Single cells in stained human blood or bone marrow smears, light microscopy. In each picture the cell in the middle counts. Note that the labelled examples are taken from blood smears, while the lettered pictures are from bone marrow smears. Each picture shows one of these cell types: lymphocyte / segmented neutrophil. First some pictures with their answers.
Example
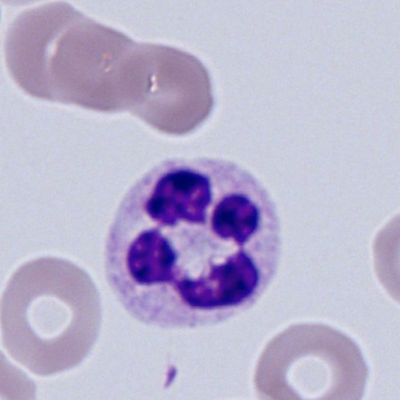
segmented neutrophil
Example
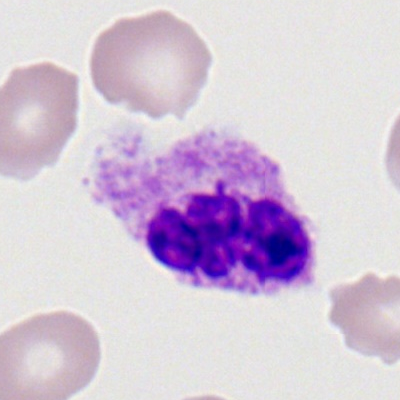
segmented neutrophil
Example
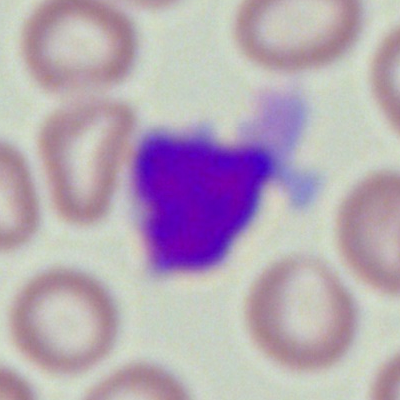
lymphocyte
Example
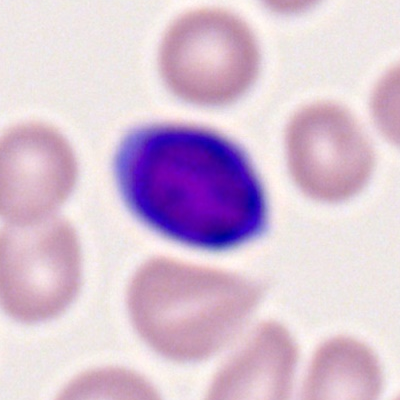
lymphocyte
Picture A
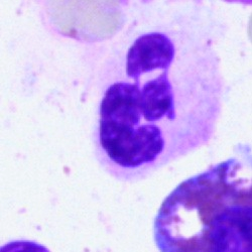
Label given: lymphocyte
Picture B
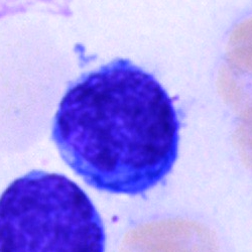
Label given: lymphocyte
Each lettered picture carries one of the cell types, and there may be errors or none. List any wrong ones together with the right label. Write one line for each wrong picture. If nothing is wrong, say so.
A: change lymphocyte to segmented neutrophil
